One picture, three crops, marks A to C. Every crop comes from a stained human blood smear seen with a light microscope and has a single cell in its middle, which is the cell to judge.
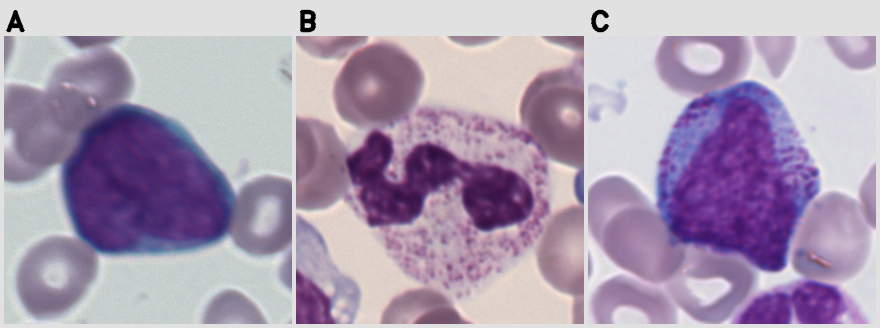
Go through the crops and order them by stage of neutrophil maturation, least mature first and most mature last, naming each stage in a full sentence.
The maturity ranking, lowest to highest, is crop A (a myeloblast), crop C (a promyelocyte) and crop B (a segmented neutrophil).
